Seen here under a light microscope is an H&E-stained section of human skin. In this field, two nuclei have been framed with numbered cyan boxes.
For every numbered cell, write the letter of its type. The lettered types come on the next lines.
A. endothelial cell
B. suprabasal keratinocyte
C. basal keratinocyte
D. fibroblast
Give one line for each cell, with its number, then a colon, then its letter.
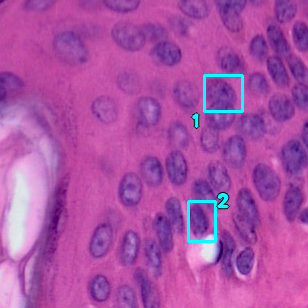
1: B
2: C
